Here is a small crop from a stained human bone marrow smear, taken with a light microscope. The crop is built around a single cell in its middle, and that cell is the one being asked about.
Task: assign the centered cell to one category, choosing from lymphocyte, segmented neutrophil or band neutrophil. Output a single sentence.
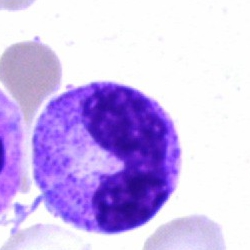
By classification, the middle cell of this crop is a band neutrophil.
